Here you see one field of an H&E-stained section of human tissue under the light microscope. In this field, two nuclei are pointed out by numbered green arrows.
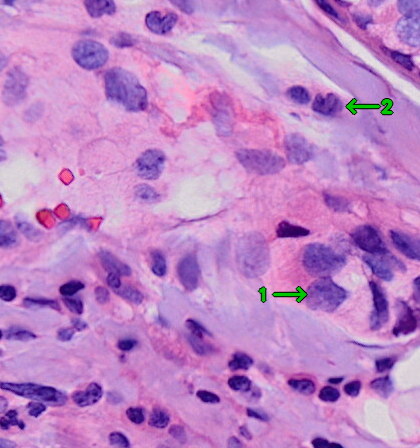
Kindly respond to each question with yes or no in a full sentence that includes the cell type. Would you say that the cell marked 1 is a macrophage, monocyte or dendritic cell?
No, what is marked as number 1 is a carcinoma cell rather than a macrophage, monocyte or dendritic cell.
